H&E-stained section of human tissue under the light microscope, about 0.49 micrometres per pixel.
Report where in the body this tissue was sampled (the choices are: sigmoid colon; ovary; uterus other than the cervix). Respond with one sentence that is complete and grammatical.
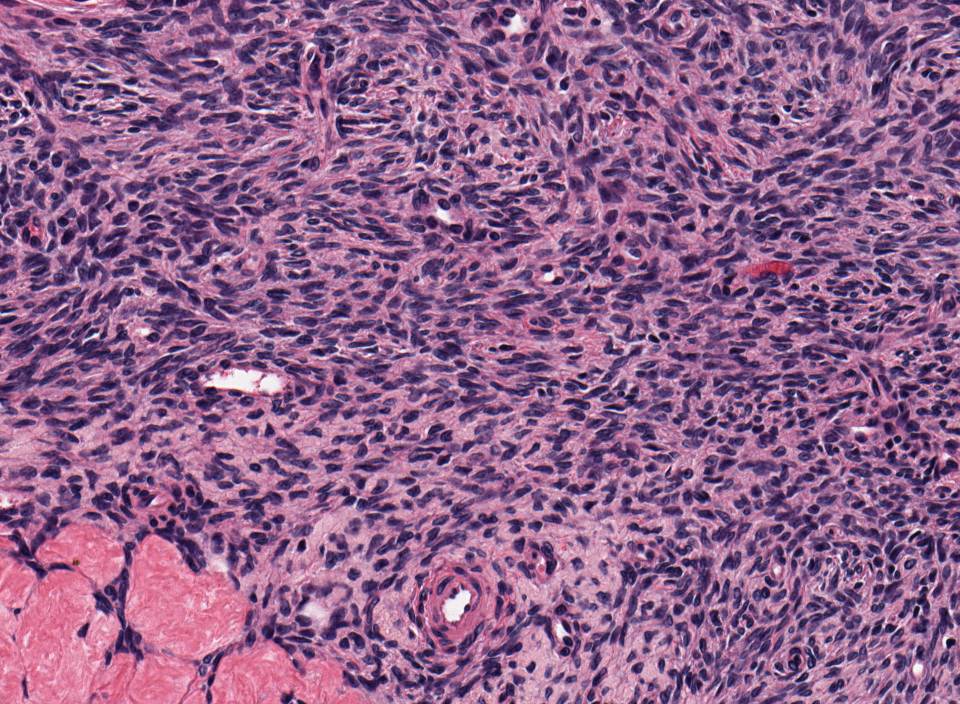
It is from the ovary that this section was cut.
